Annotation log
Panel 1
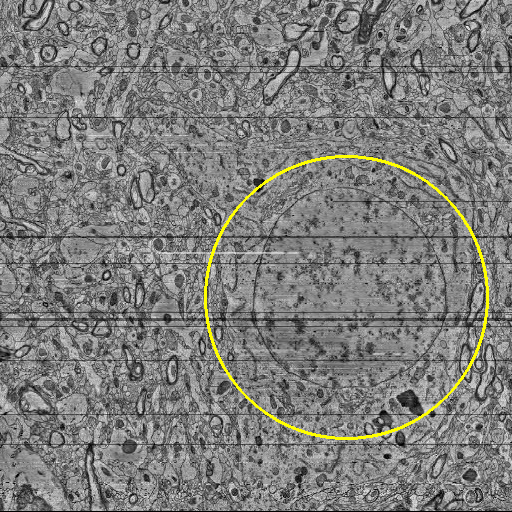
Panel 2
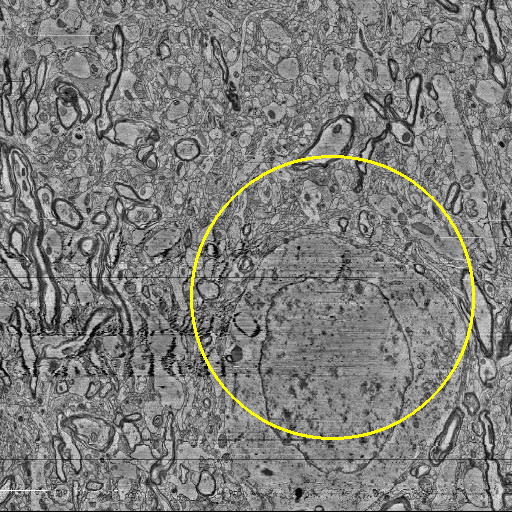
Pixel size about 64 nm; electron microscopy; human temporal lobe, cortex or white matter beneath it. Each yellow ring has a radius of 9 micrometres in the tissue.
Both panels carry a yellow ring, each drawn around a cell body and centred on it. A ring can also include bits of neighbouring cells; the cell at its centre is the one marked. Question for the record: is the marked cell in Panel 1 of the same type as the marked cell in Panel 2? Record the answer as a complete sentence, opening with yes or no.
Yes, the marked cells in Panel 1 and Panel 2 are of the same type.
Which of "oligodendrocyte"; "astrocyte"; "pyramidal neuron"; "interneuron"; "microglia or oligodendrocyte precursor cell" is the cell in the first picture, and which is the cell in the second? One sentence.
The cell in the first picture is a pyramidal neuron, and so is the one in the second.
